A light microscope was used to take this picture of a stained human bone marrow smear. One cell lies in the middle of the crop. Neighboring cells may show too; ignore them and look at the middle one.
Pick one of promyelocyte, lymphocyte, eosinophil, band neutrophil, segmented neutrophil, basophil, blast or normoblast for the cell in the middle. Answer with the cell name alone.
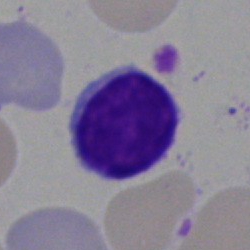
lymphocyte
